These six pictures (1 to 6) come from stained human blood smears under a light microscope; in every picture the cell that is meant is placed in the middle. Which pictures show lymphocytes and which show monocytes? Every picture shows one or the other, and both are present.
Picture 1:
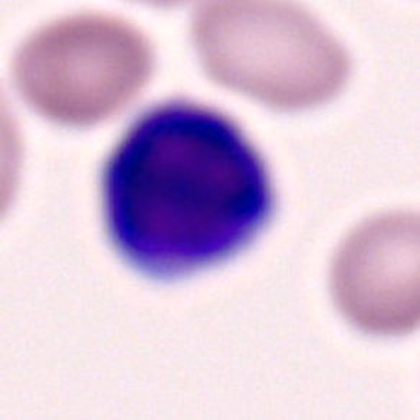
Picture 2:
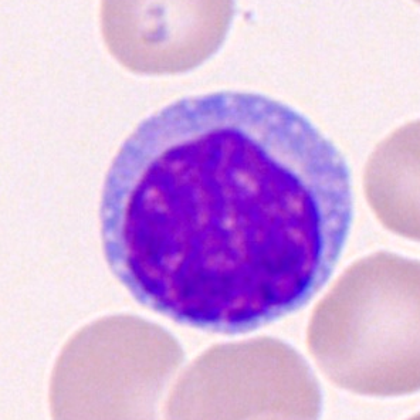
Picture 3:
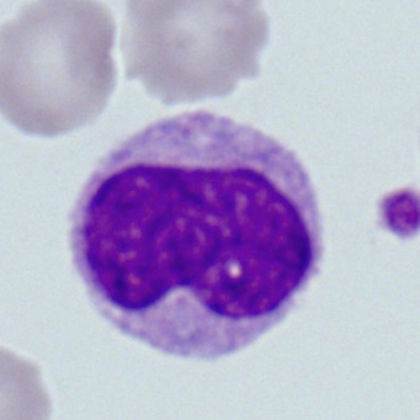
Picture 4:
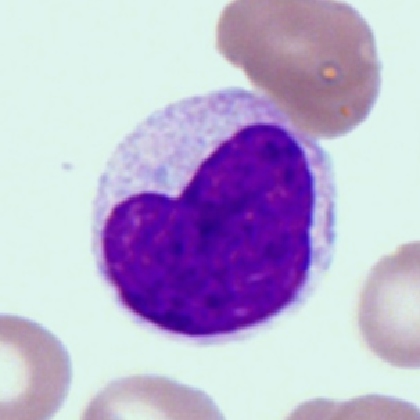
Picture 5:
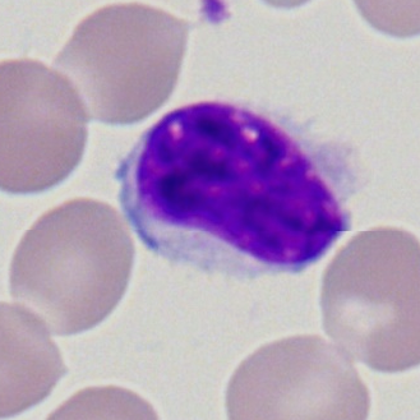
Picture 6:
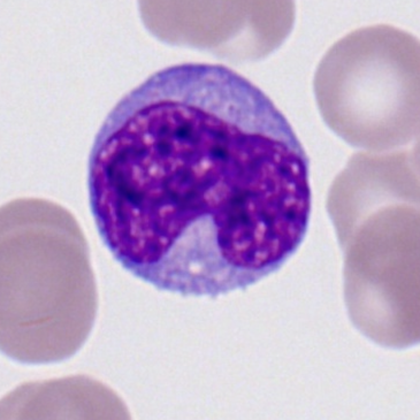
1: lymphocyte
2: lymphocyte
3: monocyte
4: lymphocyte
5: lymphocyte
6: monocyte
